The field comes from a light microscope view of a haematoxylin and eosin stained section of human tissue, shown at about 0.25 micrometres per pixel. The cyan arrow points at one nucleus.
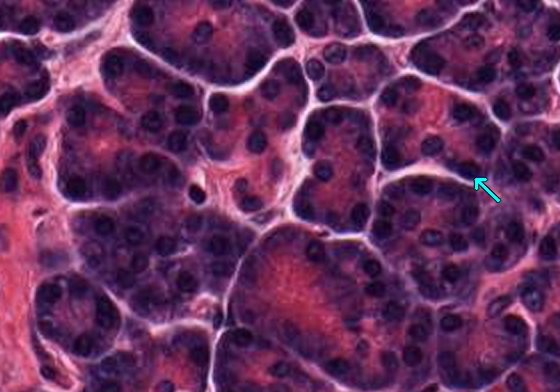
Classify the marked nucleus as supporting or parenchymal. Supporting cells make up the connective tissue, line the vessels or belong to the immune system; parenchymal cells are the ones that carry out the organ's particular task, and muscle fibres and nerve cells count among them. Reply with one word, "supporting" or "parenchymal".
parenchymal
